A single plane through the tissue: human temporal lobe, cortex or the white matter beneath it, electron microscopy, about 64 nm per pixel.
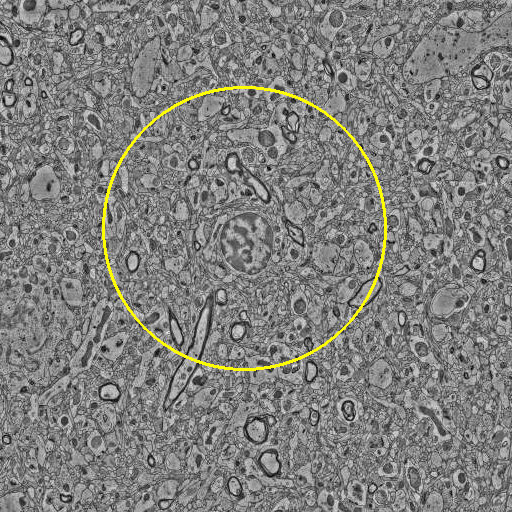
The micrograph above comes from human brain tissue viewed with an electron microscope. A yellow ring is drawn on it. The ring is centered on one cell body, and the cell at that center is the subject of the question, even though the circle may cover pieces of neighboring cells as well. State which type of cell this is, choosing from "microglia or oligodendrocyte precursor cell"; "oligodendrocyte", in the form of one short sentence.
The cell the ring is centered on is a microglial cell or oligodendrocyte precursor cell.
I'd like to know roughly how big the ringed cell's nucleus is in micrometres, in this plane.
The nucleus comes to roughly 4 micrometres across in this plane.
